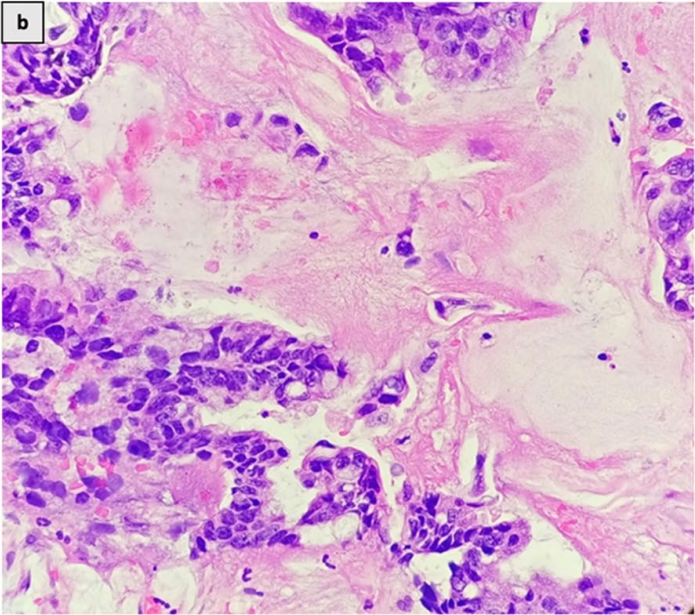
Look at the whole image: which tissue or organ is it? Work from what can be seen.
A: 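Malignant mucinous glands. Crowded clusters of cells with large, dark, pleomorphic nuclei form irregular glandular groups. Some cells have clear vacuolated cytoplasm. The cell groups border pale mucoid material.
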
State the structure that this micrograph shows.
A: extravasated pools of mucin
